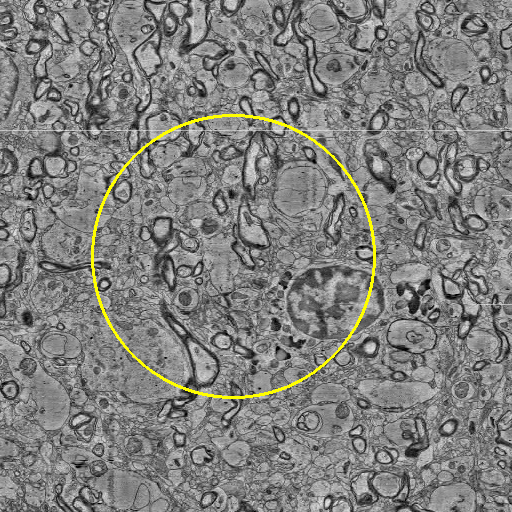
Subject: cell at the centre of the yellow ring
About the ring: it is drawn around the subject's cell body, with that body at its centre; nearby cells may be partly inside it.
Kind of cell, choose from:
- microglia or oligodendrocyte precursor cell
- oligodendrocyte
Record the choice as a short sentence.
The subject cell is a microglial cell or oligodendrocyte precursor cell.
